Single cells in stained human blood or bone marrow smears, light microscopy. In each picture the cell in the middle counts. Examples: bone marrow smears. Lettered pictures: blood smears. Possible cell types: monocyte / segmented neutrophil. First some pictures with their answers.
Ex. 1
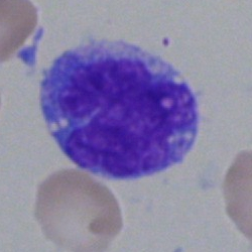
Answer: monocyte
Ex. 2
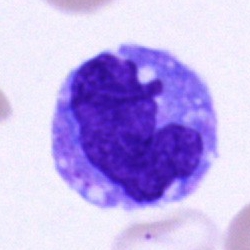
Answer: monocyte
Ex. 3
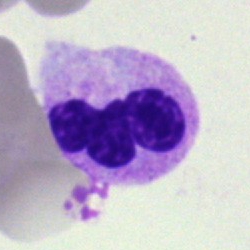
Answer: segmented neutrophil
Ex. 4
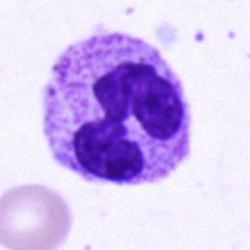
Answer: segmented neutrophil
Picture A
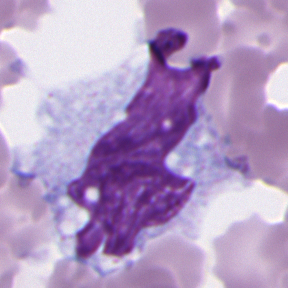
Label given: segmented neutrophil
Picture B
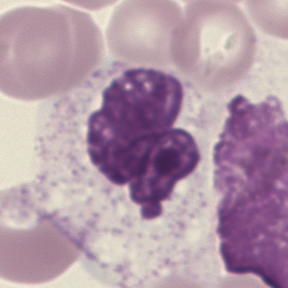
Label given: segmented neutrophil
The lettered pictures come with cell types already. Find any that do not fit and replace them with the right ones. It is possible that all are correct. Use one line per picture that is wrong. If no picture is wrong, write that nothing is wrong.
A: monocyte, not segmented neutrophil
